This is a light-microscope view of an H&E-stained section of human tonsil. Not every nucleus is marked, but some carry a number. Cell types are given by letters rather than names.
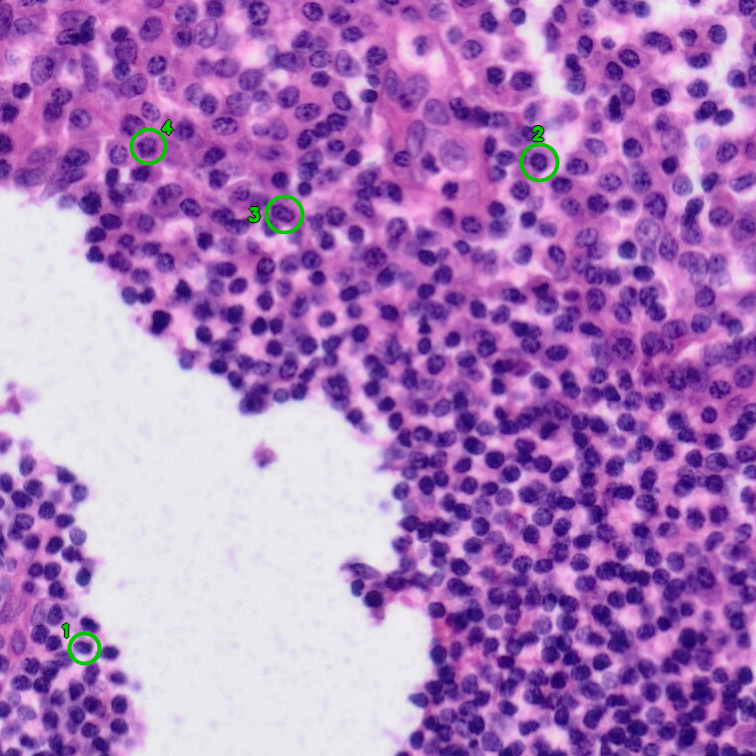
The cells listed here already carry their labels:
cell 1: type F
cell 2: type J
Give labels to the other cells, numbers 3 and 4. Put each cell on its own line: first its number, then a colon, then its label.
3: type J
4: type J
